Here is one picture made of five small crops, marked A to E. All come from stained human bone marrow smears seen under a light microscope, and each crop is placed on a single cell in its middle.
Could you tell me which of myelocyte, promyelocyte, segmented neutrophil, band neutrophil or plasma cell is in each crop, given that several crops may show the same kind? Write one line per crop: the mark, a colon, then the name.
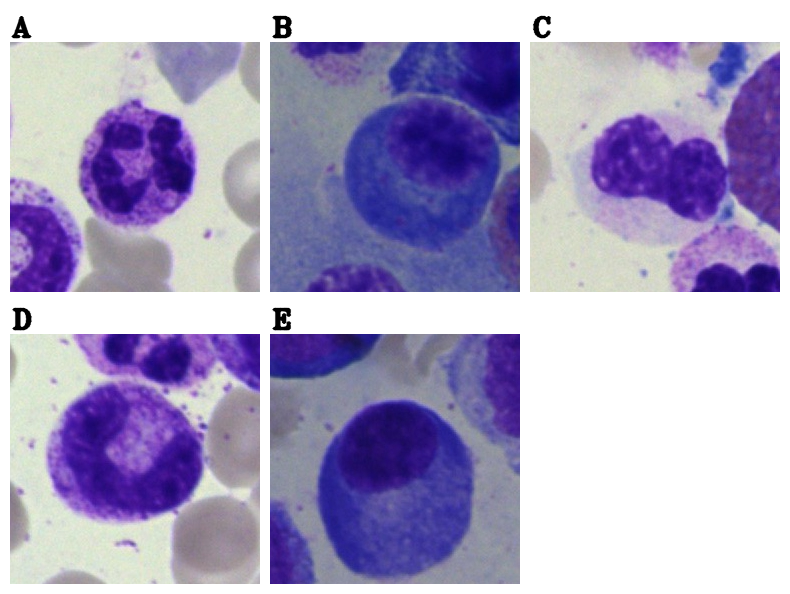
A: segmented neutrophil
B: plasma cell
C: band neutrophil
D: band neutrophil
E: plasma cell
